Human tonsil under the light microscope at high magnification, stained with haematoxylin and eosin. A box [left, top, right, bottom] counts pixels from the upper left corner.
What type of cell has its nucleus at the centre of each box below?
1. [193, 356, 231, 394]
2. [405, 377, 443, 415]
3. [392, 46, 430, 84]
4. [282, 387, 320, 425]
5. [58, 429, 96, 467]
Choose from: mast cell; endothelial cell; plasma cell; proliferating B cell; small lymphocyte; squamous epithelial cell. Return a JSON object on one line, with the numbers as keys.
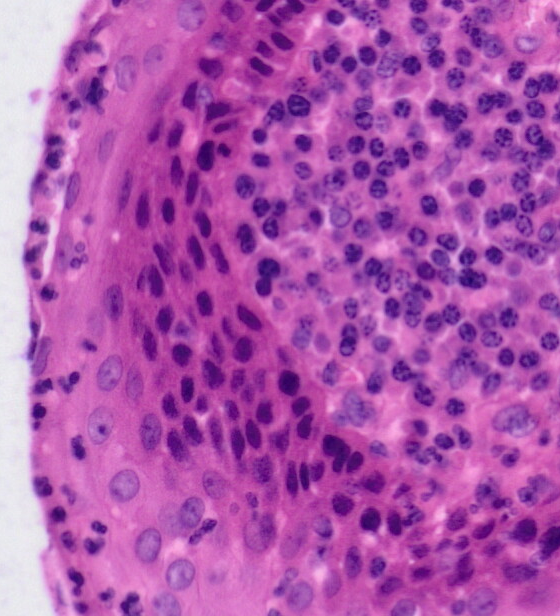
{"1": "squamous epithelial cell", "2": "plasma cell", "3": "plasma cell", "4": "squamous epithelial cell", "5": "squamous epithelial cell"}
